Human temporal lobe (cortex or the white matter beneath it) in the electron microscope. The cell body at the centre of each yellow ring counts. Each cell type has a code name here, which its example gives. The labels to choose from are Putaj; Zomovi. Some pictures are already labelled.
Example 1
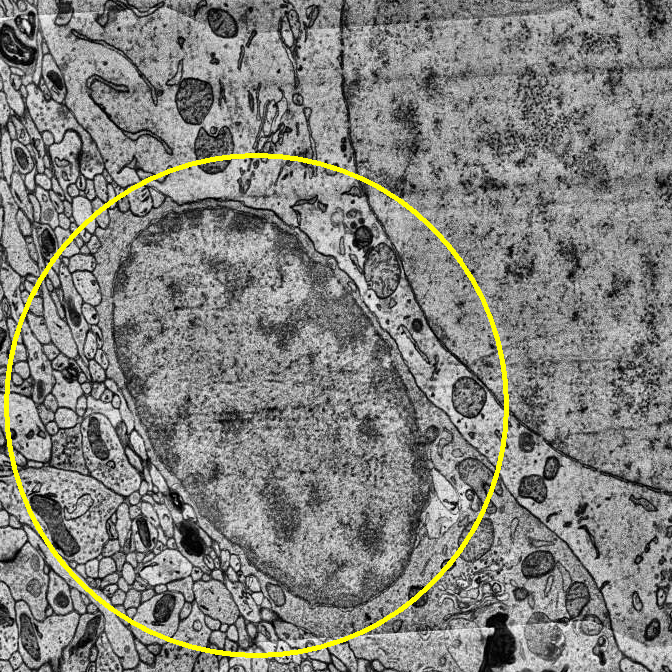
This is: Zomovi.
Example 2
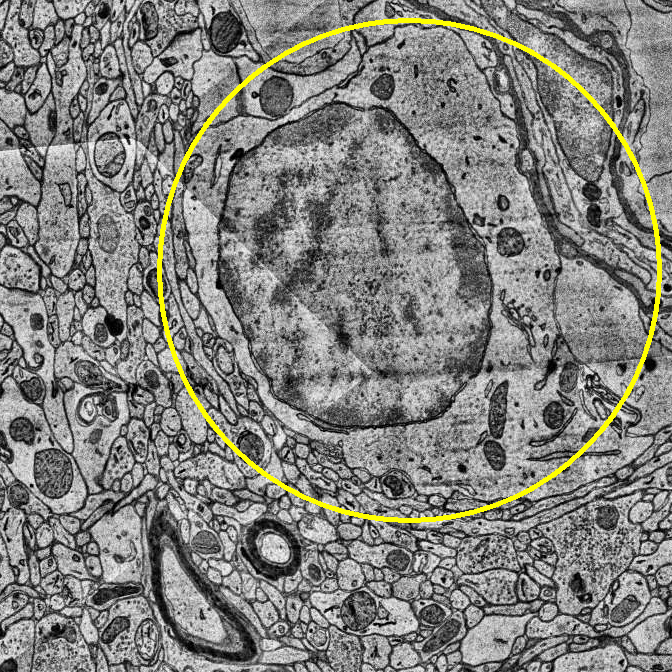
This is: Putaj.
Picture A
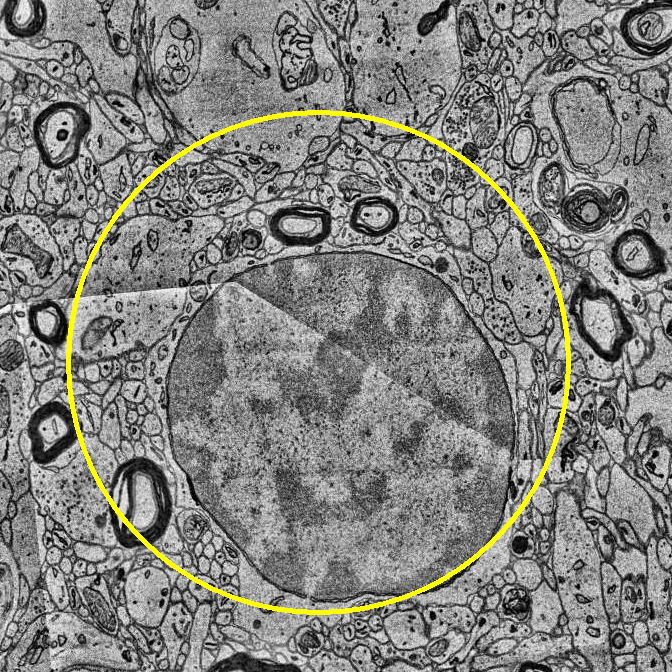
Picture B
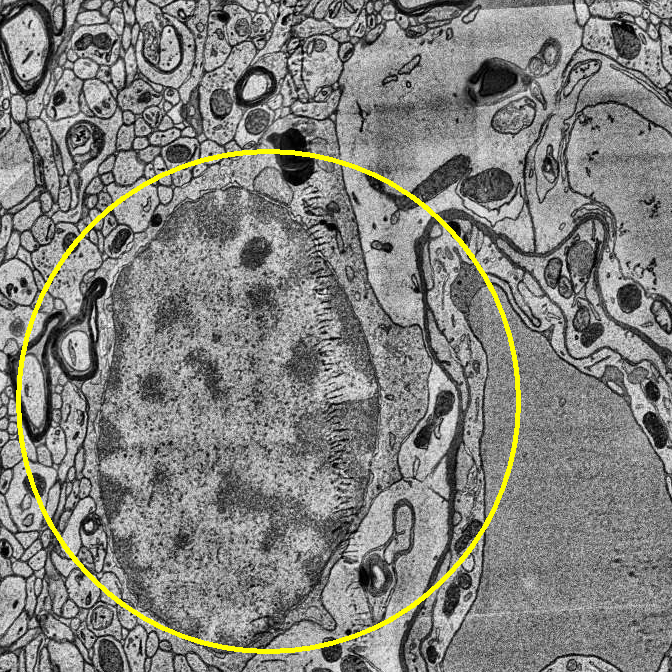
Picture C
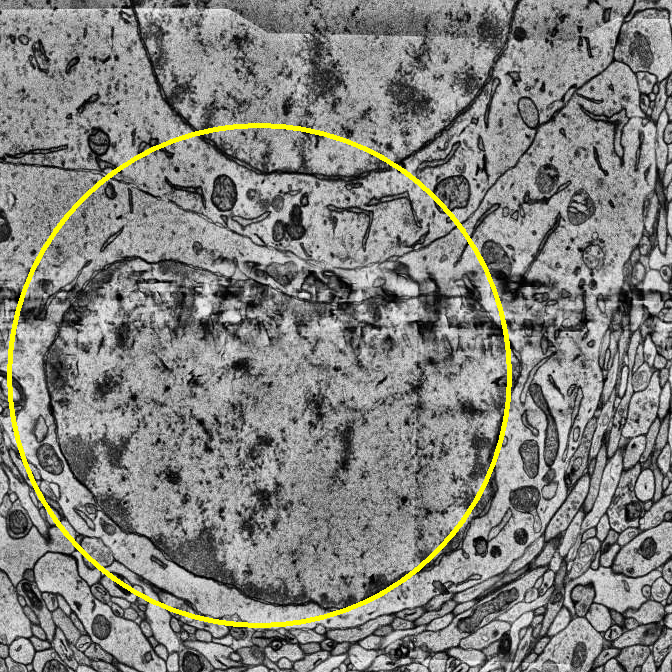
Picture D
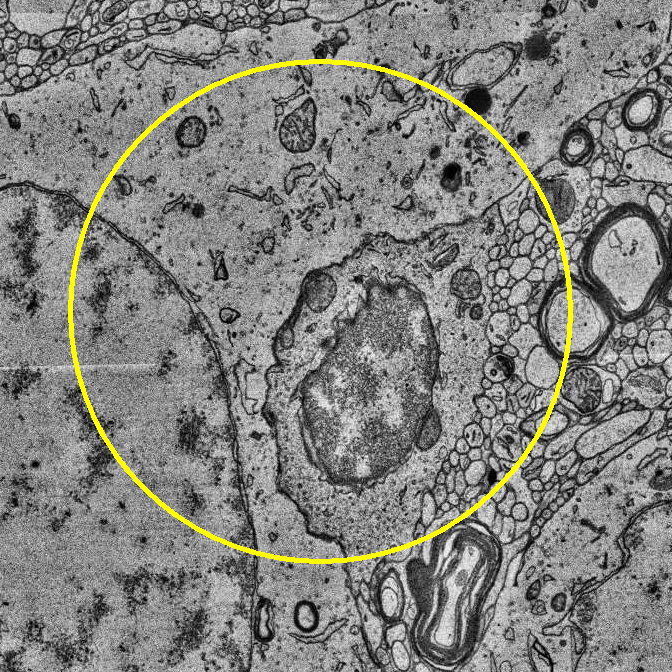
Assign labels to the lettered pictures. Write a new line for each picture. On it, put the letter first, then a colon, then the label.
A: Putaj.
B: Zomovi.
C: Putaj.
D: Zomovi.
